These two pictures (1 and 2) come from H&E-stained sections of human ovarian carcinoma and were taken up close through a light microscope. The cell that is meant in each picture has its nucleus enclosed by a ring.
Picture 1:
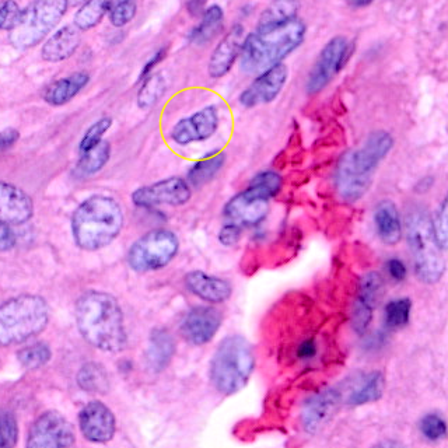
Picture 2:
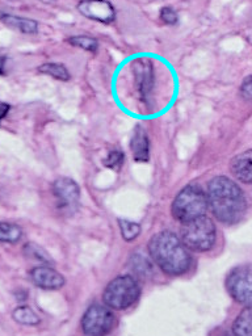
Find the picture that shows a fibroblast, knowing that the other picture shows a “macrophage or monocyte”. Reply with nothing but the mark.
2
